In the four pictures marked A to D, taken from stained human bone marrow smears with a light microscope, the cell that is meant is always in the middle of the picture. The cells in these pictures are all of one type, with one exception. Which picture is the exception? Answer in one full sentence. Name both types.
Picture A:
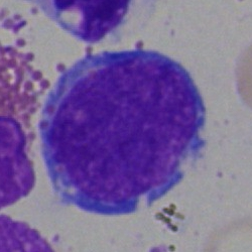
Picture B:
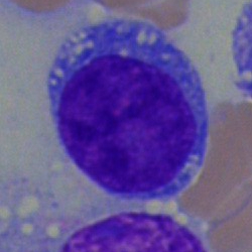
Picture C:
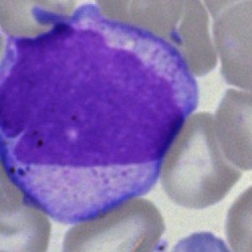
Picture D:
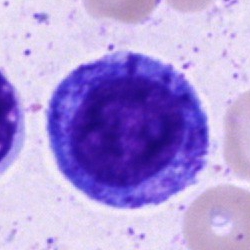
Unlike the rest, which show blasts, picture D shows a promyelocyte.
